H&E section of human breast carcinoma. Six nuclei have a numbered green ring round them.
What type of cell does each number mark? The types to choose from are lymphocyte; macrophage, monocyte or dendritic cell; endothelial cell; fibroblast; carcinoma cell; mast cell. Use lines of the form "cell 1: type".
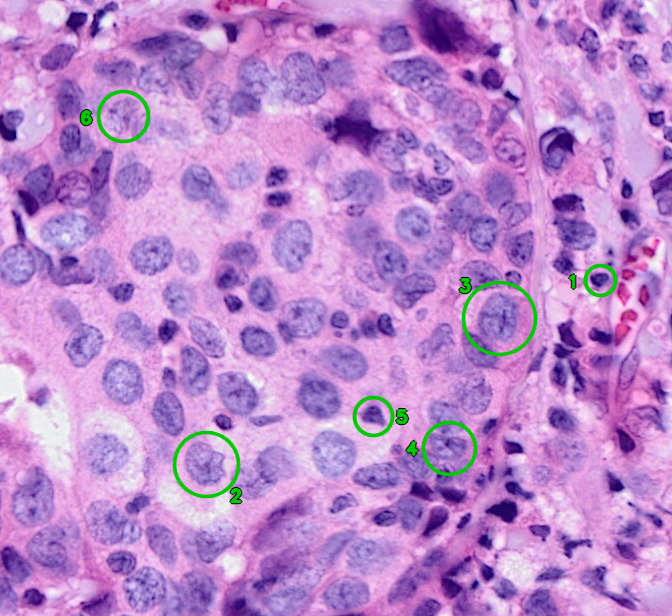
cell 1: lymphocyte
cell 2: carcinoma cell
cell 3: carcinoma cell
cell 4: carcinoma cell
cell 5: lymphocyte
cell 6: carcinoma cell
